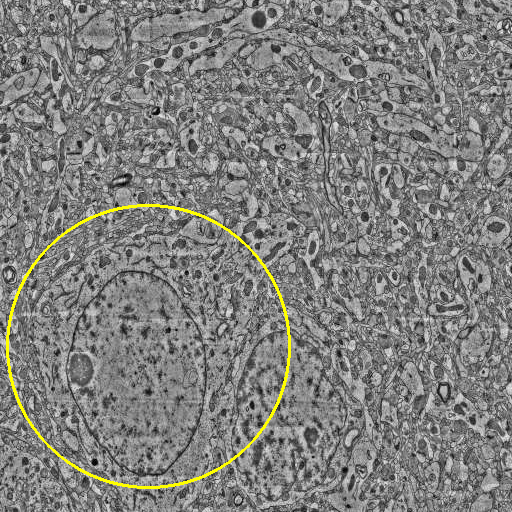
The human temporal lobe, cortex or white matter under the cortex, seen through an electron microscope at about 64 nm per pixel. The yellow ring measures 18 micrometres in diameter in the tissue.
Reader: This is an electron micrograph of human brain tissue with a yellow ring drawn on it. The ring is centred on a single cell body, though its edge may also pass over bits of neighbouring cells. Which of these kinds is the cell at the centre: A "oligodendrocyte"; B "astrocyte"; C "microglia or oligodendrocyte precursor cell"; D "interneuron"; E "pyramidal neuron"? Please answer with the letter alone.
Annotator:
E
